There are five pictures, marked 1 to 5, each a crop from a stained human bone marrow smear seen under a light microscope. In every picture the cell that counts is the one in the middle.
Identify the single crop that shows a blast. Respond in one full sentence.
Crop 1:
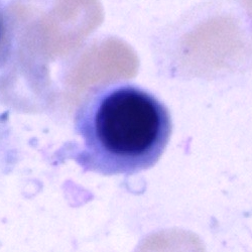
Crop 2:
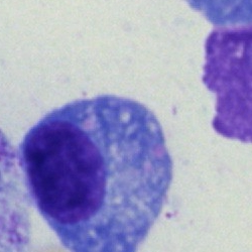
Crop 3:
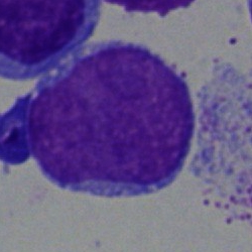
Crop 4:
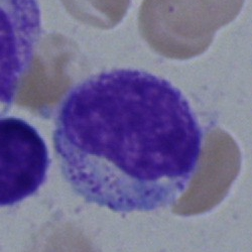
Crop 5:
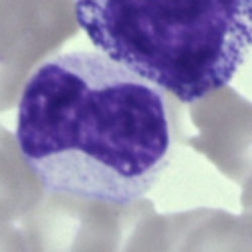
Crop 3 is the one in this set that shows a blast.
